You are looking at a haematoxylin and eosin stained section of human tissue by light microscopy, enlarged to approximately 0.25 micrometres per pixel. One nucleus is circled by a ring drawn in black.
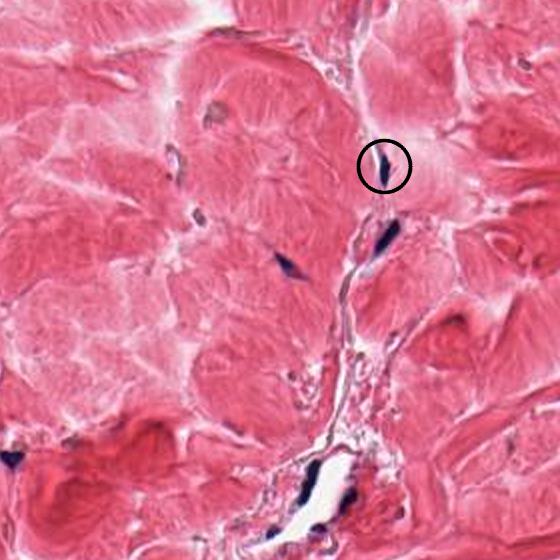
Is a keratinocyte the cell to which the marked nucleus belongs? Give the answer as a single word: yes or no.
no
